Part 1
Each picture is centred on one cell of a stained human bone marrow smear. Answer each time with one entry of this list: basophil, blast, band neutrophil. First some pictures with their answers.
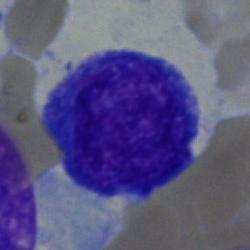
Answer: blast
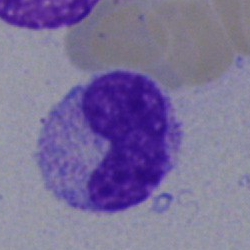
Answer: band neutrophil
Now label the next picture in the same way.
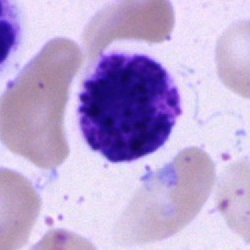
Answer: basophil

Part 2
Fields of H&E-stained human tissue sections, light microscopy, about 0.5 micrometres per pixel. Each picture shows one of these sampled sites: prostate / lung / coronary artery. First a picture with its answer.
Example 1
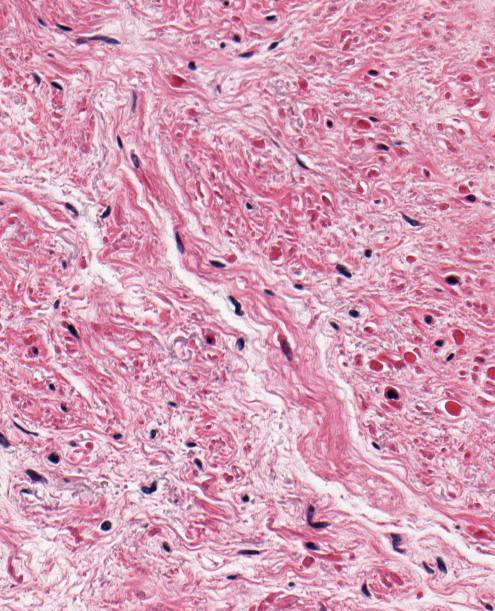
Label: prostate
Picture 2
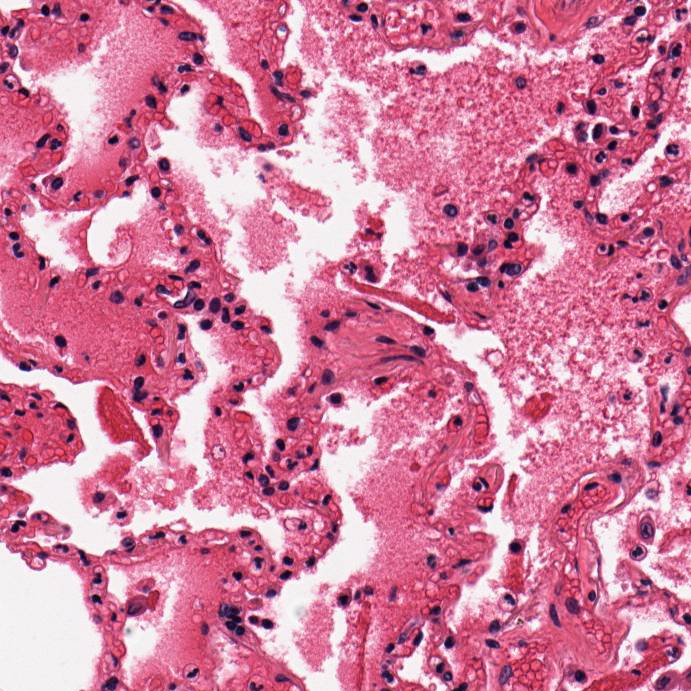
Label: lung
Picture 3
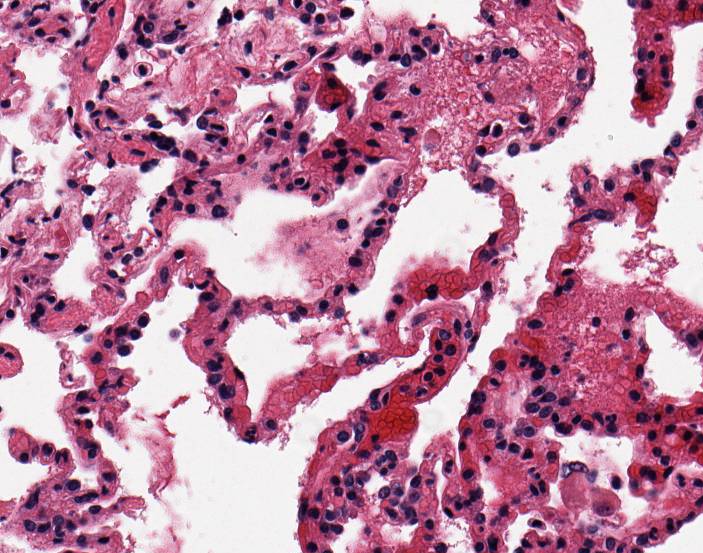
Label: lung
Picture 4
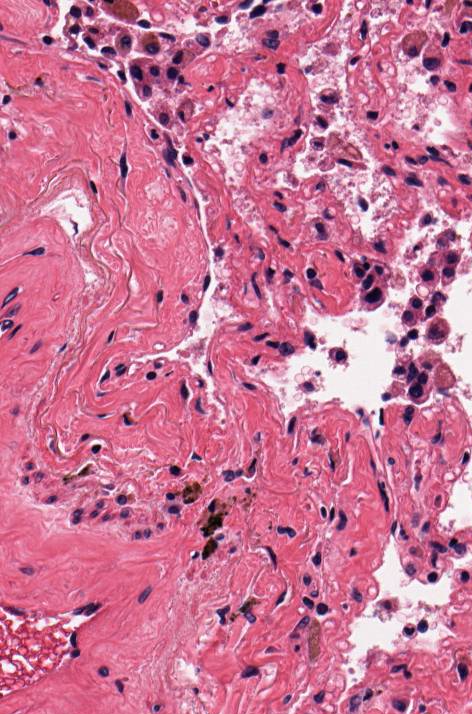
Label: lung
